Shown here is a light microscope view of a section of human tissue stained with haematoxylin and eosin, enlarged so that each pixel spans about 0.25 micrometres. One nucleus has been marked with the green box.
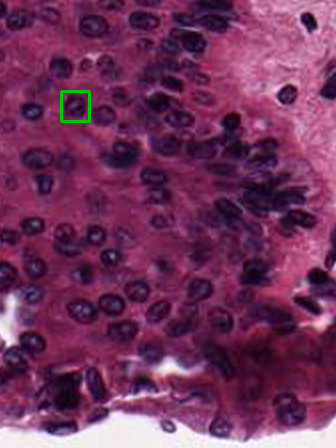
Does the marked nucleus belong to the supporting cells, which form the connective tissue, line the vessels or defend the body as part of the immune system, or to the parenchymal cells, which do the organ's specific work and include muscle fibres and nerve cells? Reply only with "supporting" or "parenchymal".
parenchymal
